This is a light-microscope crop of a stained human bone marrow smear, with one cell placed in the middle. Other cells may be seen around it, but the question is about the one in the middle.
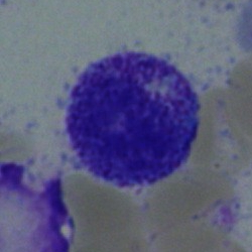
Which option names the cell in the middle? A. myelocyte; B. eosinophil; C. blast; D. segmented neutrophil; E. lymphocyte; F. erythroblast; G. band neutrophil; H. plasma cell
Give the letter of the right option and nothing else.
A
